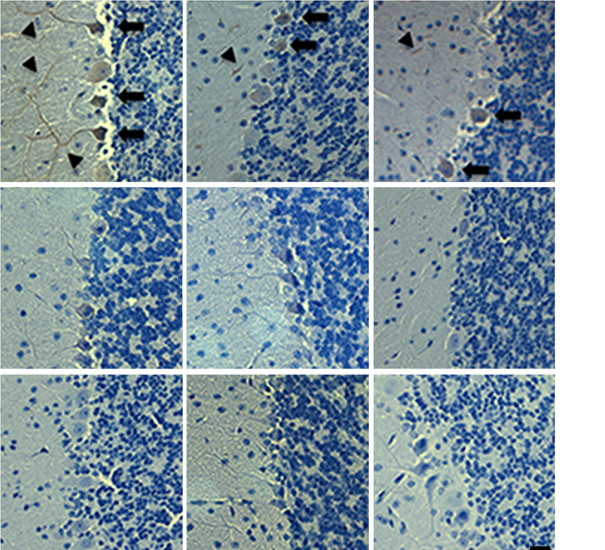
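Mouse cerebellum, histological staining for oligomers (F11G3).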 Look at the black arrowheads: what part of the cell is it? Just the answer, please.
dendrites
